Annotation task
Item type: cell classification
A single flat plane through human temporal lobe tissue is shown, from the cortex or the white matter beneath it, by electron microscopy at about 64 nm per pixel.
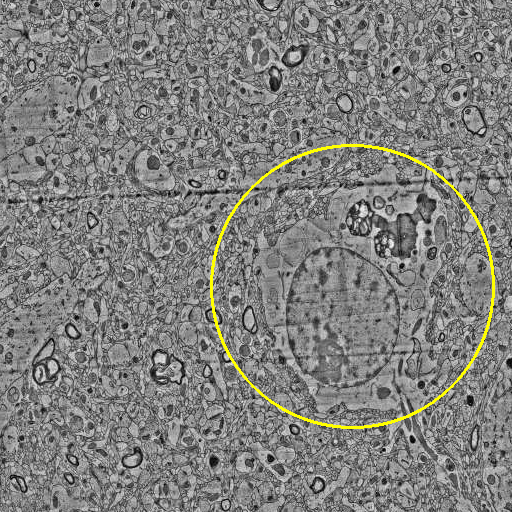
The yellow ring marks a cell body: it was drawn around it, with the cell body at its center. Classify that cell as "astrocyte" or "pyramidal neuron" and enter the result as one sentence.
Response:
The ring's center falls on an astrocyte.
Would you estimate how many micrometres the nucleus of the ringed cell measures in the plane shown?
Roughly 9 by 7 micrometres is the size of the nucleus in this plane.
